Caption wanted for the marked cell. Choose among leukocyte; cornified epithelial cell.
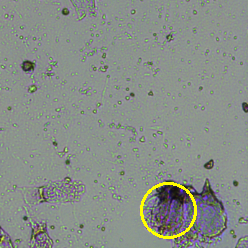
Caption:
Ringed in yellow is a cornified epithelial cell.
